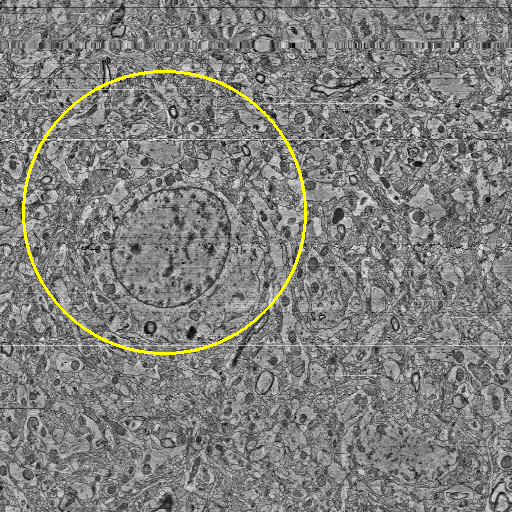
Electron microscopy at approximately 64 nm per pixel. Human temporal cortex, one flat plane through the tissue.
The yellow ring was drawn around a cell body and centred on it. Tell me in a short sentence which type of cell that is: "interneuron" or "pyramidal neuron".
The cell at the ring's centre is a pyramidal neuron.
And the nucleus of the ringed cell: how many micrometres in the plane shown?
The nucleus of the ringed cell is approximately 8 micrometres across in this plane.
